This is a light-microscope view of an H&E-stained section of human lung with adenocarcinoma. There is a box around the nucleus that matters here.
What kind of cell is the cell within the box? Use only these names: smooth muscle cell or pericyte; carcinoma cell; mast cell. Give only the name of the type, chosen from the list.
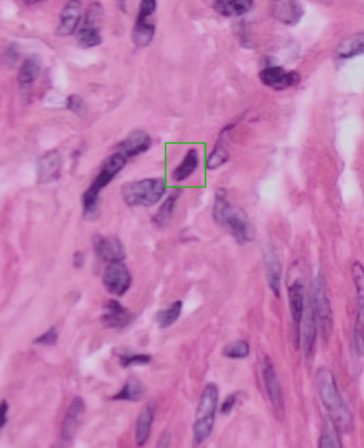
mast cell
